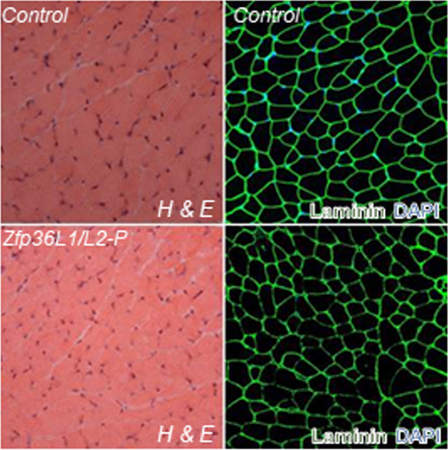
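In the brightfield images the fibres are pink polygonal profiles with small dark purple nuclei at their edges. In the fluorescence images a green mesh outlines the periphery of each fibre, and small blue nuclei lie along these outlines rather than in the fibre centres. In the lower row the fibres look smaller than in the upper row.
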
